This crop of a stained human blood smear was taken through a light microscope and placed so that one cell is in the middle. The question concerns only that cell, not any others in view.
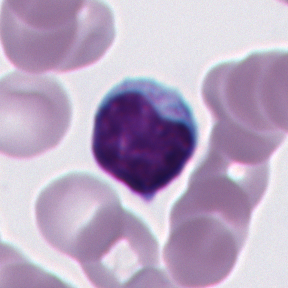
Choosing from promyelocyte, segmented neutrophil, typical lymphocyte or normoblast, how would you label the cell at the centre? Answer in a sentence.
This crop has a typical lymphocyte at its centre.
